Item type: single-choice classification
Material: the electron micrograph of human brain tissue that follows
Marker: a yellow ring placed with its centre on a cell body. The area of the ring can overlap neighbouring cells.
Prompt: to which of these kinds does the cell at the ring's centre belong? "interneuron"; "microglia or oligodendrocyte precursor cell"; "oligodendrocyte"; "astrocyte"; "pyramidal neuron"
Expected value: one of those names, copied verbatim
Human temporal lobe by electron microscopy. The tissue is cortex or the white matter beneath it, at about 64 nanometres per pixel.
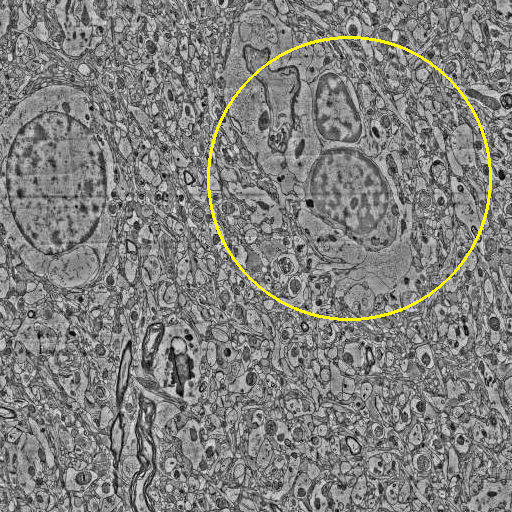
oligodendrocyte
